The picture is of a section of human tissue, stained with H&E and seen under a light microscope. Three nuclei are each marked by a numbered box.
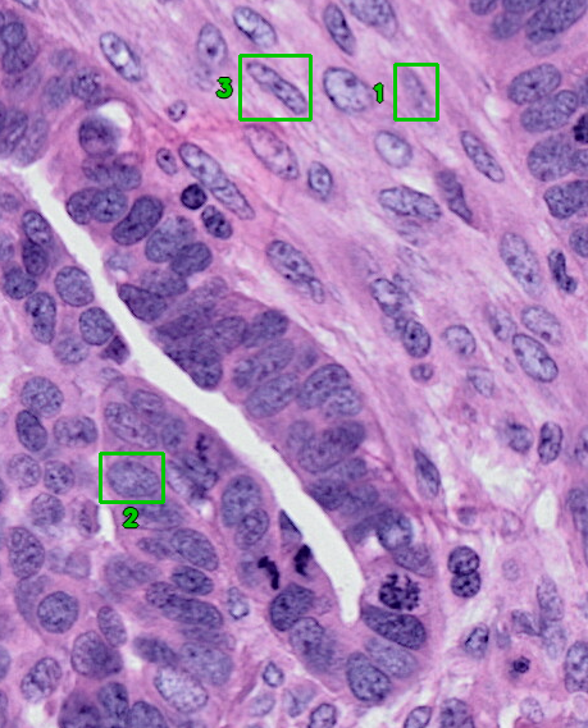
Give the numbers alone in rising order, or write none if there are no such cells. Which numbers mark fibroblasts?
1, 3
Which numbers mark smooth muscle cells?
none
